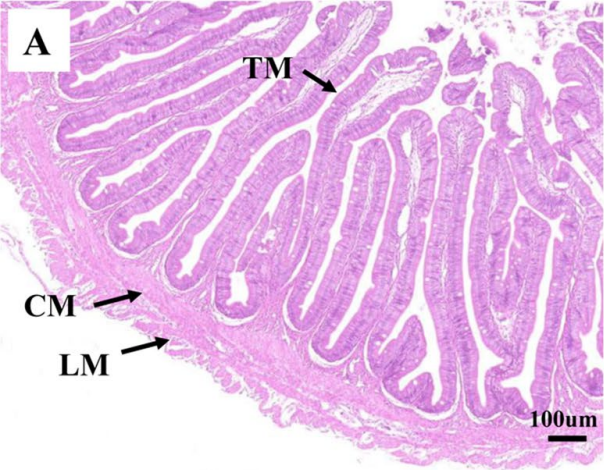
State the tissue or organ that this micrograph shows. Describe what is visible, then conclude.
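Intestines. Tall, slender mucosal folds project into a central lumen. A simple columnar epithelium lines each fold. A continuous layered smooth muscle wall surrounds the folds.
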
